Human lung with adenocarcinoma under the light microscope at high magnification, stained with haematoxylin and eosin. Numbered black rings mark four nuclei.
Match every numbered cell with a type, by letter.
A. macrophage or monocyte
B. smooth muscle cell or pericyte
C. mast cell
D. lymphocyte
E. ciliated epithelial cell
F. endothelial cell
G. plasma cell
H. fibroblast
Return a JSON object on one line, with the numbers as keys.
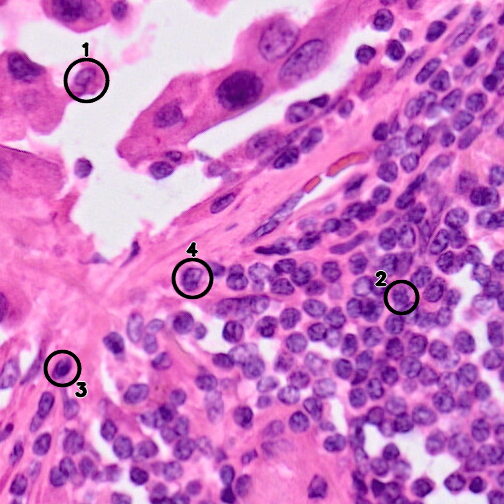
{"1": "A", "2": "D", "3": "D", "4": "D"}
